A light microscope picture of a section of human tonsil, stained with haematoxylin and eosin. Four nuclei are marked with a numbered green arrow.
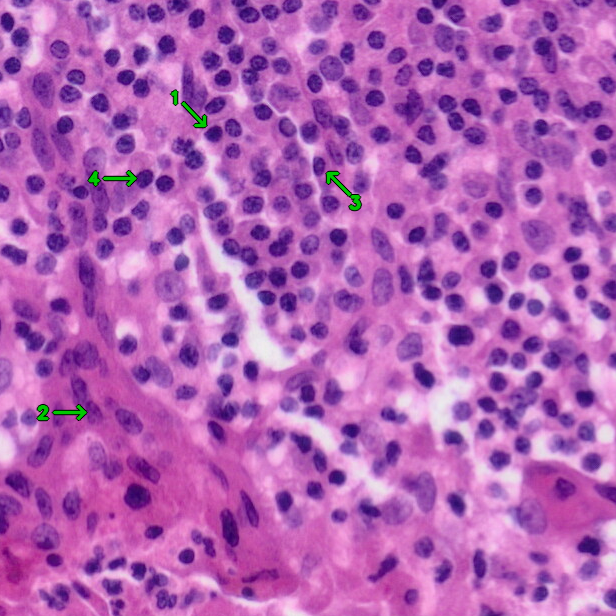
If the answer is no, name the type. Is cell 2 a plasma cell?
No, it is a squamous epithelial cell.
